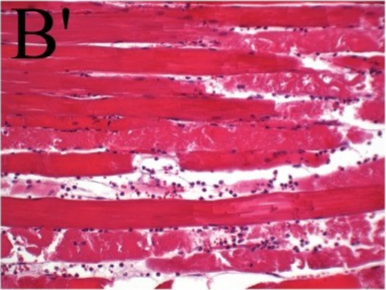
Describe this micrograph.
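This is muscle tissue cut along its length, in which the fibres are badly disrupted. Some long pink fibres still run in parallel, but large areas are broken into pale, frayed, irregular fragments separated by wide clear spaces. Many small, dark purple nuclei are crowded along the edges of the fibres and scattered within the gaps between them, far more than in intact muscle.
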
